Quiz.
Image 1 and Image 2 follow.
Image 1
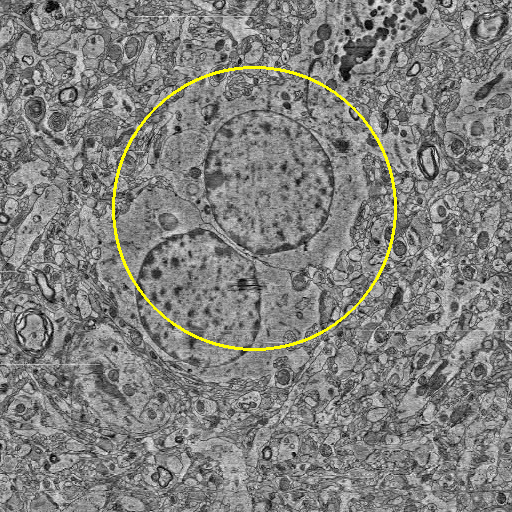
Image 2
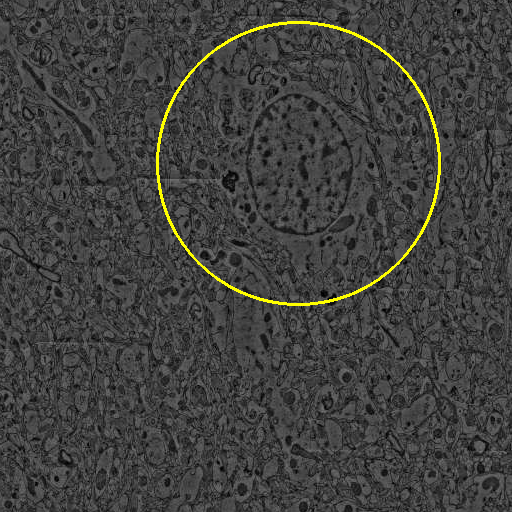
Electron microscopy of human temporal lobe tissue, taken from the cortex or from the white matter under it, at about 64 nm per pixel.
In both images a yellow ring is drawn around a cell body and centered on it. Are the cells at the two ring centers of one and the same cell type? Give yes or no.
yes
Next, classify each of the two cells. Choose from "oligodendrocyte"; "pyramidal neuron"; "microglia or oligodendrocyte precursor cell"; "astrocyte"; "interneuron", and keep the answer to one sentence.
The first and the second cell are each an astrocyte.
